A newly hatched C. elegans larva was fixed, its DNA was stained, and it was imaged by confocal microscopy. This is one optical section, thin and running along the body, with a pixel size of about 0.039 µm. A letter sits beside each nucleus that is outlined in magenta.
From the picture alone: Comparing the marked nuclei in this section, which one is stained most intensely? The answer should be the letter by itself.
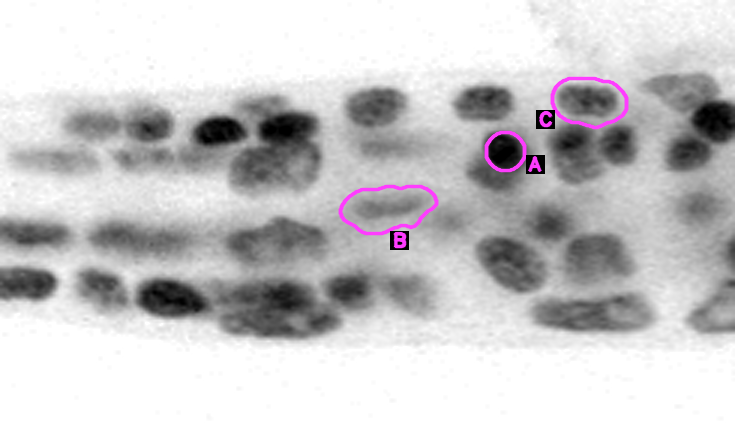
A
